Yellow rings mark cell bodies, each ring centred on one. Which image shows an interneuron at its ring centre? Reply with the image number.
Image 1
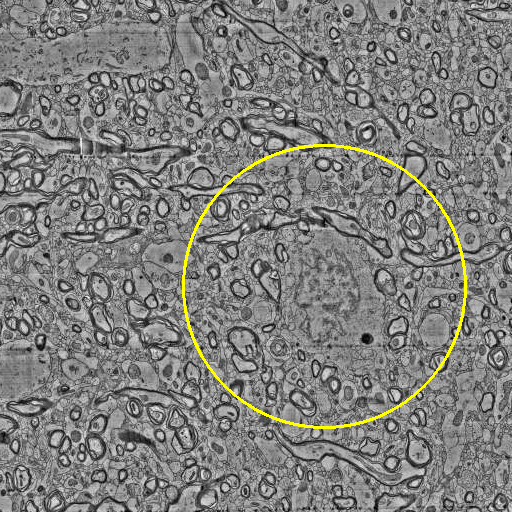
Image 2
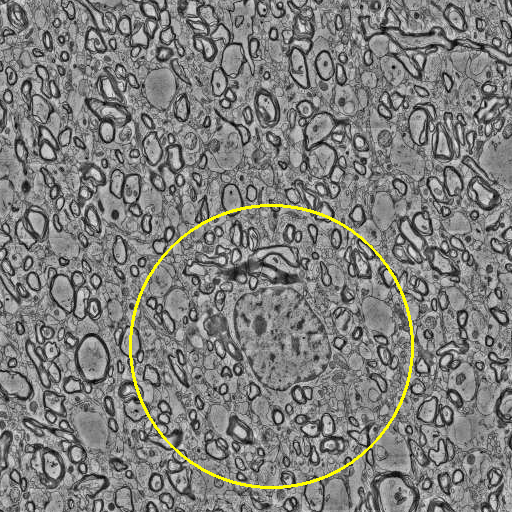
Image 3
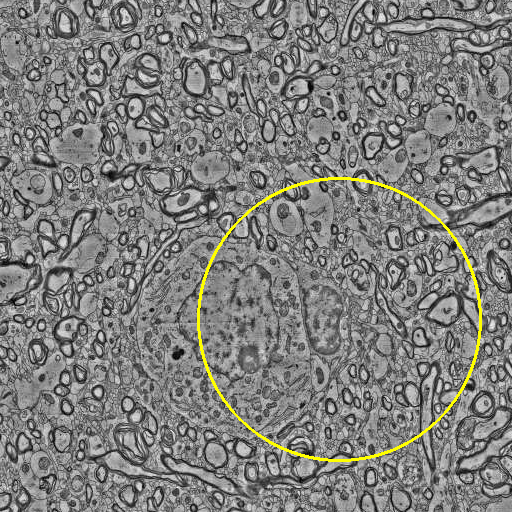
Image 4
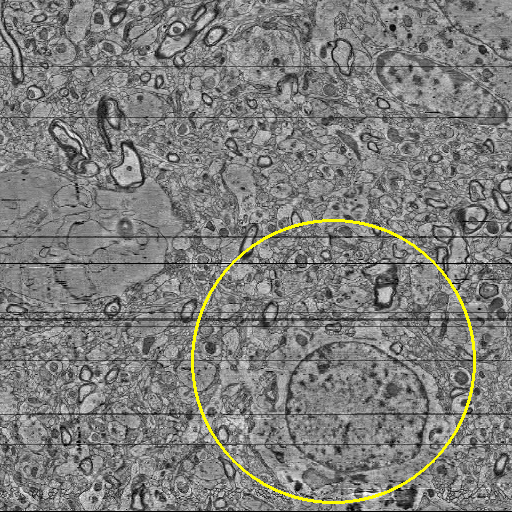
1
